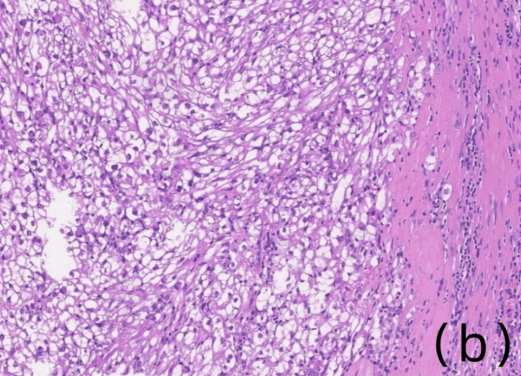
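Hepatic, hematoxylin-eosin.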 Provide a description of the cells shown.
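Tumor tissue abutting a band of dense fibrous capsule. Most of the field is occupied by tumor cells with pale, clear to finely vacuolated cytoplasm and small nuclei, arranged loosely in vague streams with some elongated forms and scattered small empty spaces. Along the right edge runs a band of dense, homogeneous pink collagenous tissue containing sparse elongated nuclei and a few small vessels.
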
